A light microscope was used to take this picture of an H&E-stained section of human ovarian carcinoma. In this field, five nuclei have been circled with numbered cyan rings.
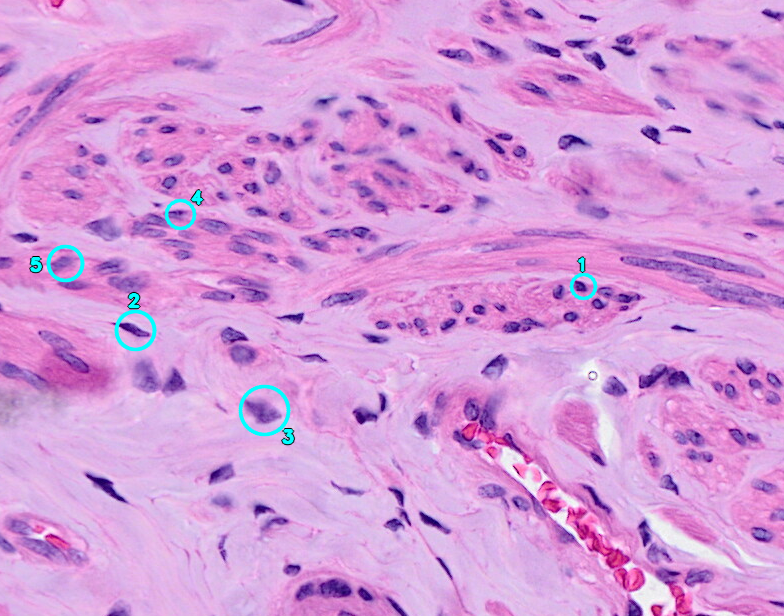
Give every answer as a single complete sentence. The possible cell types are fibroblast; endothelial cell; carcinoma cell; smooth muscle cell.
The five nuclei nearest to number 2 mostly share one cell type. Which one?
Smooth muscle cells make up most of the five nuclei closest to number 2.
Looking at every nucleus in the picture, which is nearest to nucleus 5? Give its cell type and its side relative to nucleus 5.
It is a smooth muscle cell, whose nucleus lies below and to the right of nucleus 5.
